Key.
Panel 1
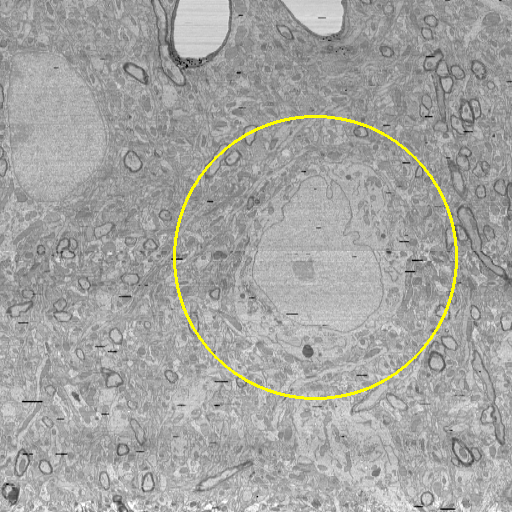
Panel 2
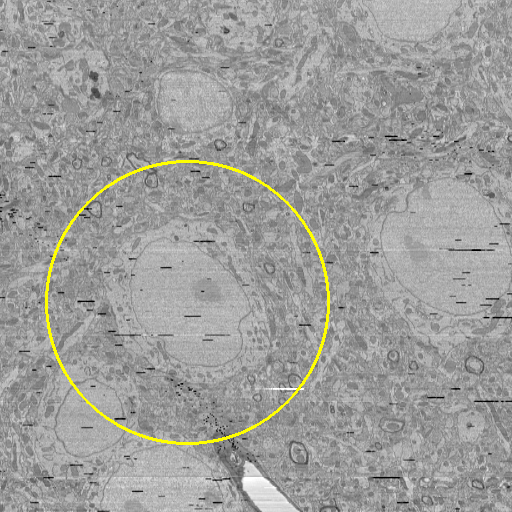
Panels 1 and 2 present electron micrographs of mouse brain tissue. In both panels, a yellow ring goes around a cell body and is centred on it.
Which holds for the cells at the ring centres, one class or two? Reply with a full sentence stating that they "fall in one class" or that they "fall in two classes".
Taken together, the ring-centre cells of the two panels fall in one class.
